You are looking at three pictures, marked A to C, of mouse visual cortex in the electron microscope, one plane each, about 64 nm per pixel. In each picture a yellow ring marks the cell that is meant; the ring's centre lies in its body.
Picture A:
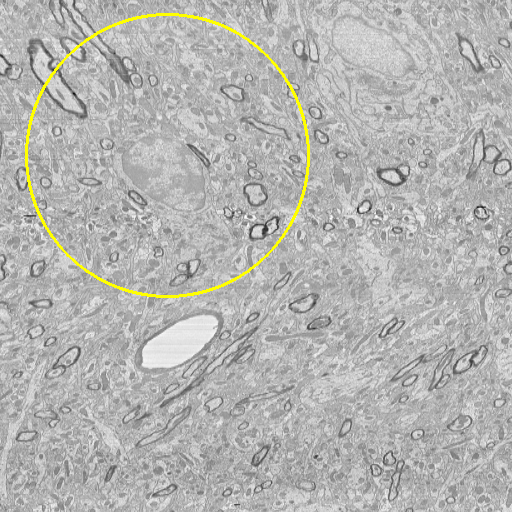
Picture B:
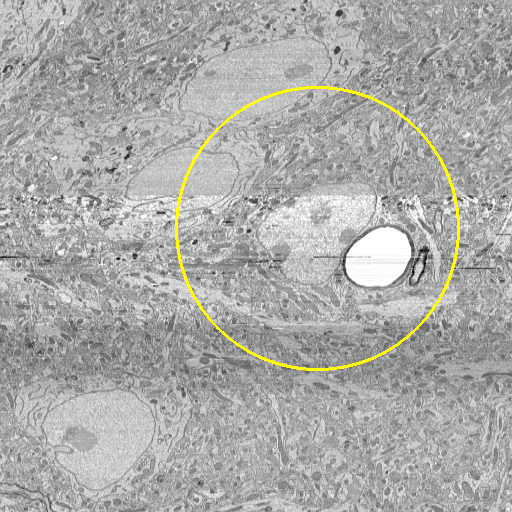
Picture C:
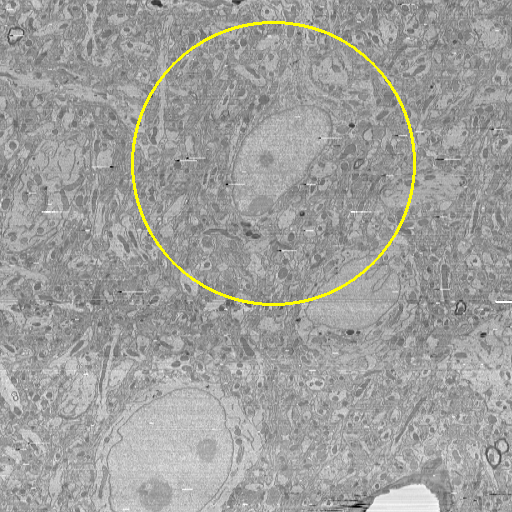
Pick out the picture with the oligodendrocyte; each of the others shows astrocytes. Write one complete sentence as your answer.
The oligodendrocyte is the one in picture A.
